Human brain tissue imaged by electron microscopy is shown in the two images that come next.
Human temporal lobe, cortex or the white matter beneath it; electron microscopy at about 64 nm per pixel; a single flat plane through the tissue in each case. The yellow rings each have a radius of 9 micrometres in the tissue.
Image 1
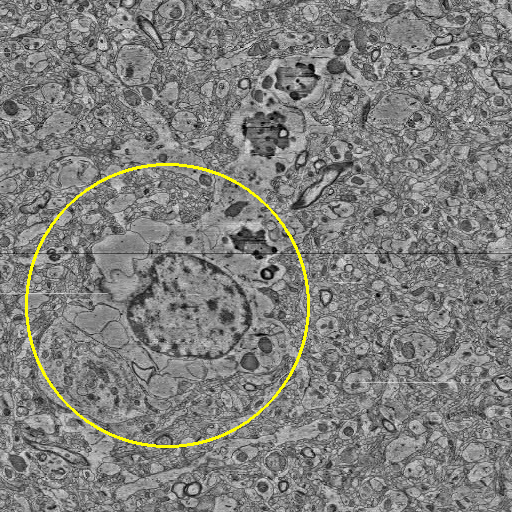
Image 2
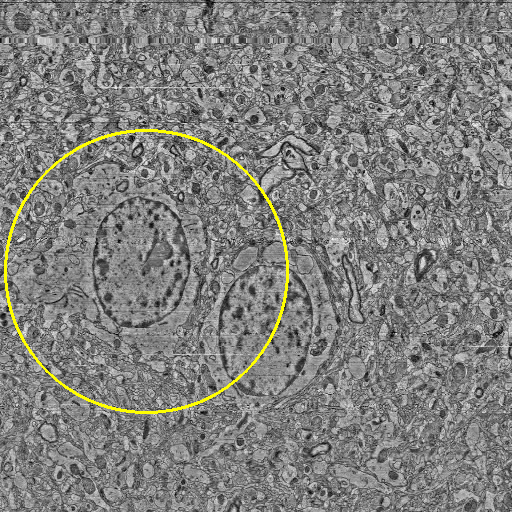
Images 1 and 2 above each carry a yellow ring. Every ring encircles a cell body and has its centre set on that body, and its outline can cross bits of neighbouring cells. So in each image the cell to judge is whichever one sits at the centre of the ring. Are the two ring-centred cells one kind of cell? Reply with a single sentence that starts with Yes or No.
Yes, in Image 1 and Image 2 the cells at the centres of their rings fall into one type.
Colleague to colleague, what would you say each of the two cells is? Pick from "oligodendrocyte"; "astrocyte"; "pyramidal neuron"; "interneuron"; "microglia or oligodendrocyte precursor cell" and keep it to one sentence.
Each of the two rings surrounds an astrocyte.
